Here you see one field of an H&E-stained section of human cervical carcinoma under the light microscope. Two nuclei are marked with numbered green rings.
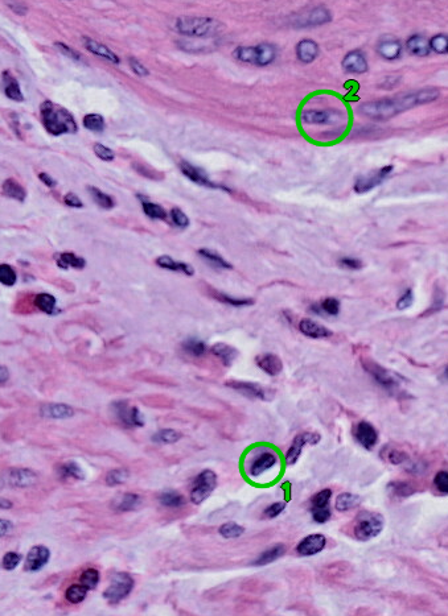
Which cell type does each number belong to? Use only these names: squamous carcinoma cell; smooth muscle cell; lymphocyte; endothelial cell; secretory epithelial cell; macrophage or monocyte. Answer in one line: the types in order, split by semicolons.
lymphocyte; smooth muscle cell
